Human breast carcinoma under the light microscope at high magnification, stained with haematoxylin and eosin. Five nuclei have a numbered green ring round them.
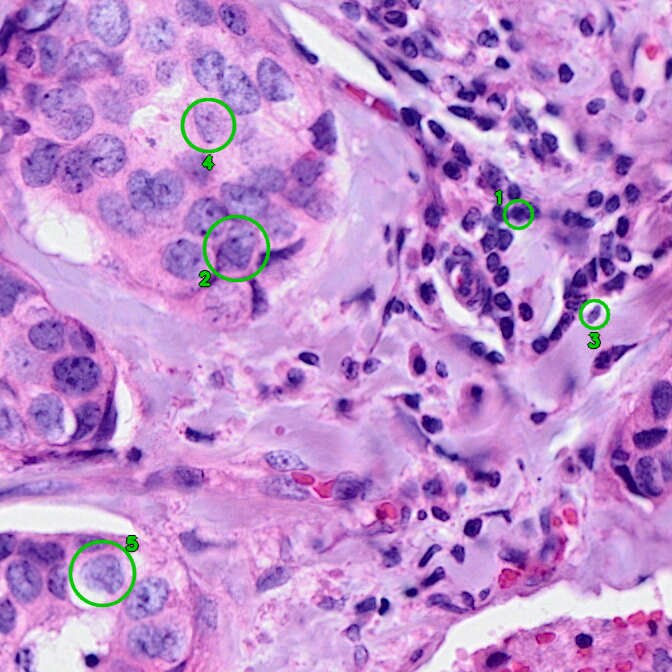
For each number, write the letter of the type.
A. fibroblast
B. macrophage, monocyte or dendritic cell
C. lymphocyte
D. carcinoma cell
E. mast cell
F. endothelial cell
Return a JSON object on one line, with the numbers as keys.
{"1": "C", "2": "D", "3": "C", "4": "D", "5": "D"}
